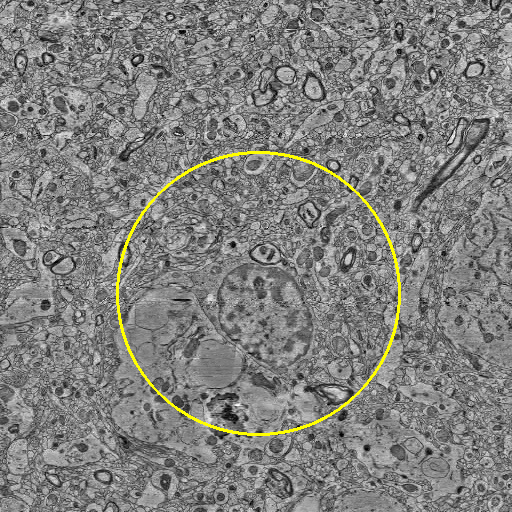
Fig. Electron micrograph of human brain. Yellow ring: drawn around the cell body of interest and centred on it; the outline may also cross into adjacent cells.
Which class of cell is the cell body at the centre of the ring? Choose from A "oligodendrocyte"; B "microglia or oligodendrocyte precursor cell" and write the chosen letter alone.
A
